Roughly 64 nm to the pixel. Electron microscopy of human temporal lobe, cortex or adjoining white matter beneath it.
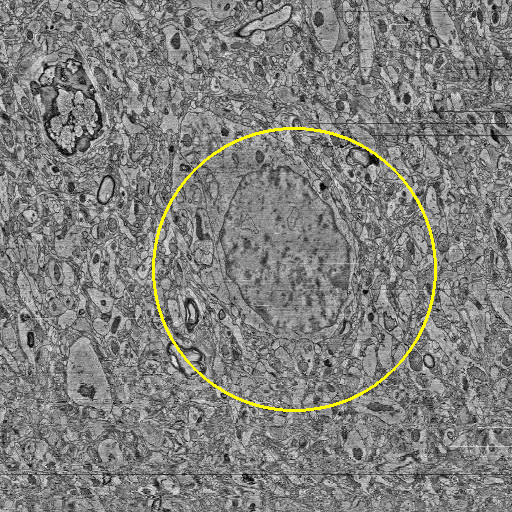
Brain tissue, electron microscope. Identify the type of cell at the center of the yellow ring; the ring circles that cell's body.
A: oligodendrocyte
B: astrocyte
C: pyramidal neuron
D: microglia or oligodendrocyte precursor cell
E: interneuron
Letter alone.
E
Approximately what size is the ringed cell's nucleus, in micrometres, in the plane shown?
In this plane, the nucleus of the cell at the centre of the ring measures about 11 by 8 micrometres.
